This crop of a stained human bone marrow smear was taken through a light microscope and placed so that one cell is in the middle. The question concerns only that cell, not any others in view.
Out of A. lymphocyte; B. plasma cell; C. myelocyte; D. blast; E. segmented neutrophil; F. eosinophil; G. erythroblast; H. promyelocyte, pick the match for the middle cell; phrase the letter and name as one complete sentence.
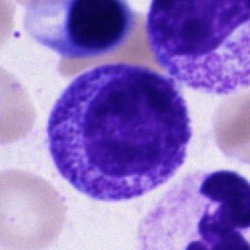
Option C is correct, and the cell in the centre is a myelocyte.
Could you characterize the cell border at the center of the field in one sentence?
Its outline is smooth, with no projections anywhere along the edge.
